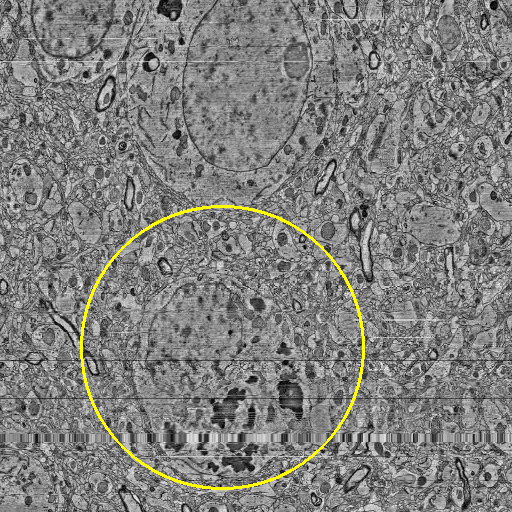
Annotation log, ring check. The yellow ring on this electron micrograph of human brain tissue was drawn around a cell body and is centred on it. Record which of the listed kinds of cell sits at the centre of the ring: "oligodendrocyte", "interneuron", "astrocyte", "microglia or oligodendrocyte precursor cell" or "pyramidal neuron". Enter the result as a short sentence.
The cell at the centre of the ring is an interneuron.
